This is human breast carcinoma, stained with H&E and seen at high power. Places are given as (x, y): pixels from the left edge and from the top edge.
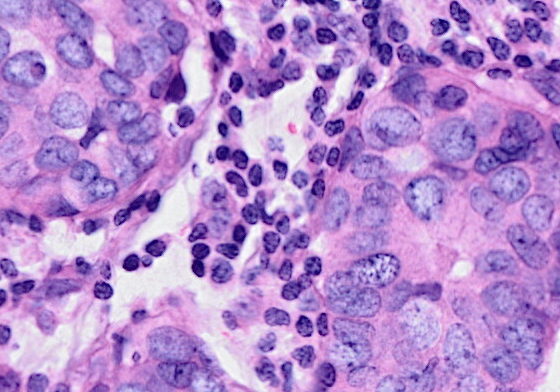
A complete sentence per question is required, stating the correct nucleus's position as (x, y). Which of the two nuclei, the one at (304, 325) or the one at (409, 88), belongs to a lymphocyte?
The nucleus of a lymphocyte lies at (304, 325), not at the other position.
